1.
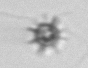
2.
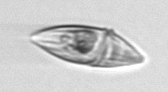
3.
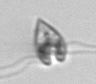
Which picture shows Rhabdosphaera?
Picture 1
